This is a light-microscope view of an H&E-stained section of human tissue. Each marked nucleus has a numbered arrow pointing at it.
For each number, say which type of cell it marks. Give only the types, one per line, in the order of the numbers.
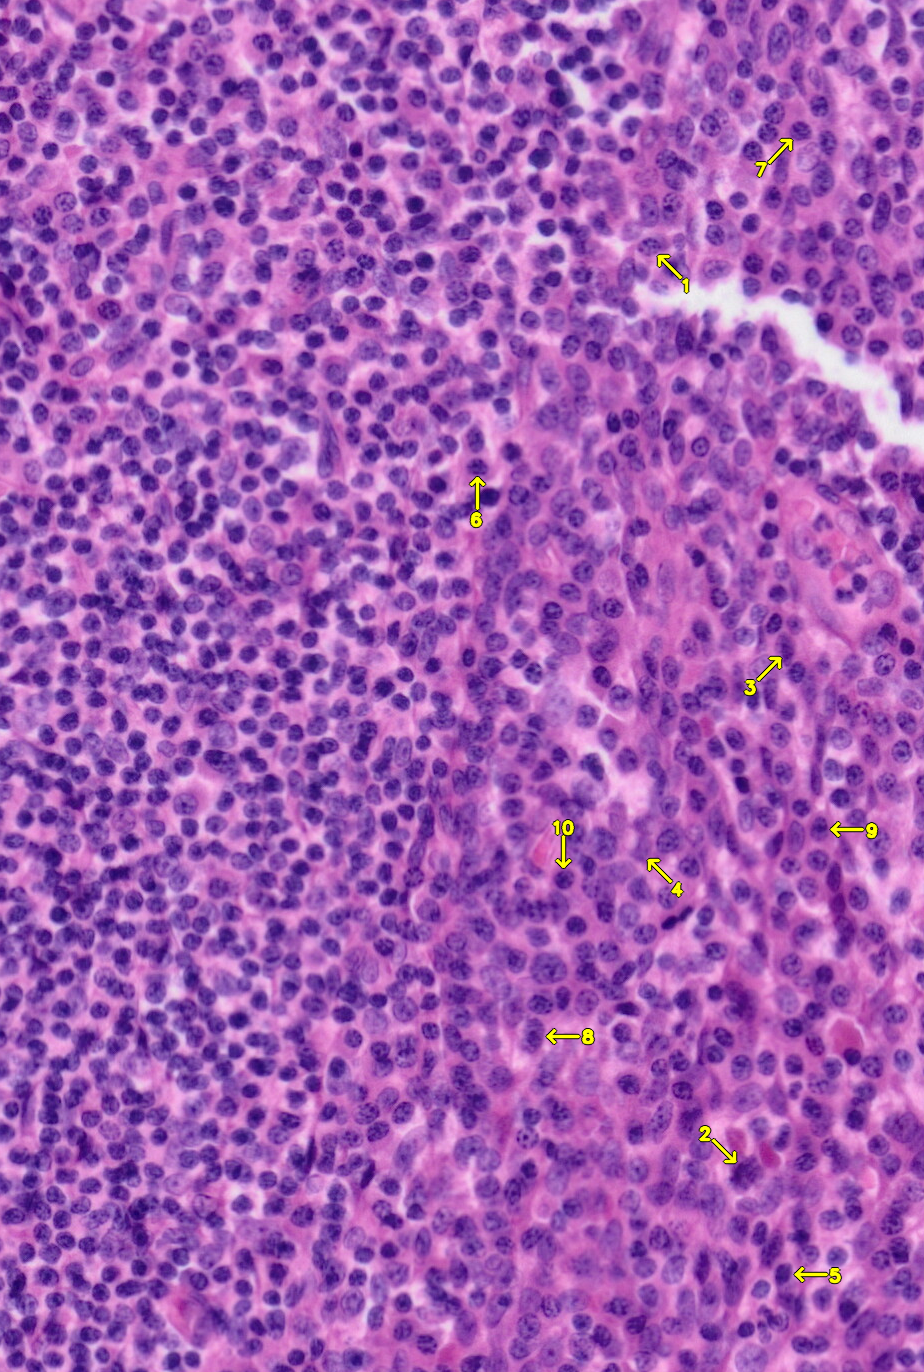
plasma cell
squamous epithelial cell
squamous epithelial cell
squamous epithelial cell
squamous epithelial cell
plasma cell
plasma cell
squamous epithelial cell
plasma cell
plasma cell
